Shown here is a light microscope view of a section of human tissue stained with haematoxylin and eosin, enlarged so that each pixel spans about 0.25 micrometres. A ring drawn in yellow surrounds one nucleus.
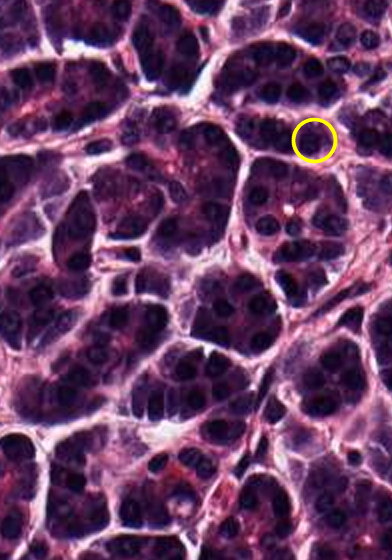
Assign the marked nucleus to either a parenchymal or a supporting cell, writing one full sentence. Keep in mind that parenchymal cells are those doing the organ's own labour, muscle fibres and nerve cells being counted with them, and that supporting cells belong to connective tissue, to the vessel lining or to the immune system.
The marked nucleus is located in a parenchymal cell, namely a pancreatic acinar cell.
